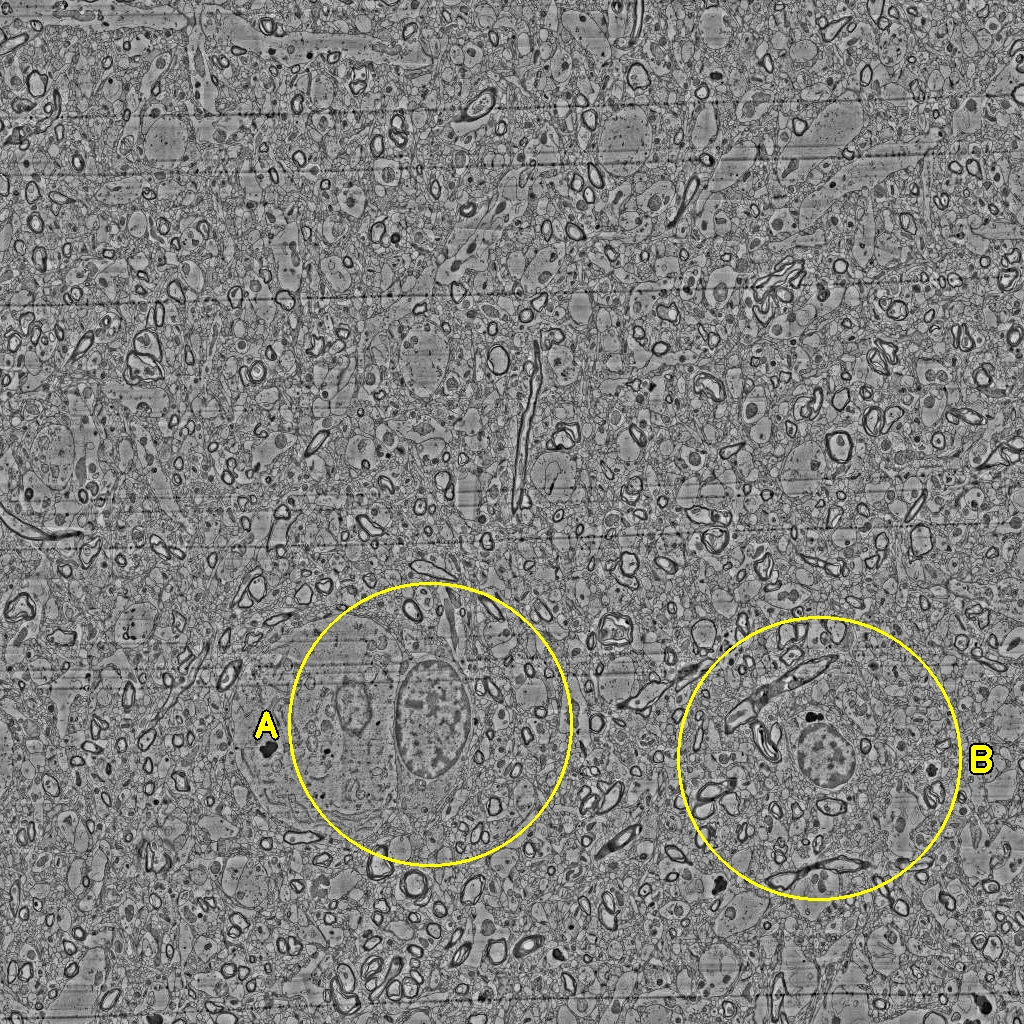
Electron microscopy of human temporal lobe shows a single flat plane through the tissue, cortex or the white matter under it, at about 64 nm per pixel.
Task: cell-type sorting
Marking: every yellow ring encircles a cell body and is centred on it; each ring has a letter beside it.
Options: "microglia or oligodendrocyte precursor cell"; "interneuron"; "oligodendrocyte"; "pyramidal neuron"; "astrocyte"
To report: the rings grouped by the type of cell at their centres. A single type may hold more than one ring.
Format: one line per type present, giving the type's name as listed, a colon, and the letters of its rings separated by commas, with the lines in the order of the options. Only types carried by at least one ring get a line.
microglia or oligodendrocyte precursor cell: B
oligodendrocyte: A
